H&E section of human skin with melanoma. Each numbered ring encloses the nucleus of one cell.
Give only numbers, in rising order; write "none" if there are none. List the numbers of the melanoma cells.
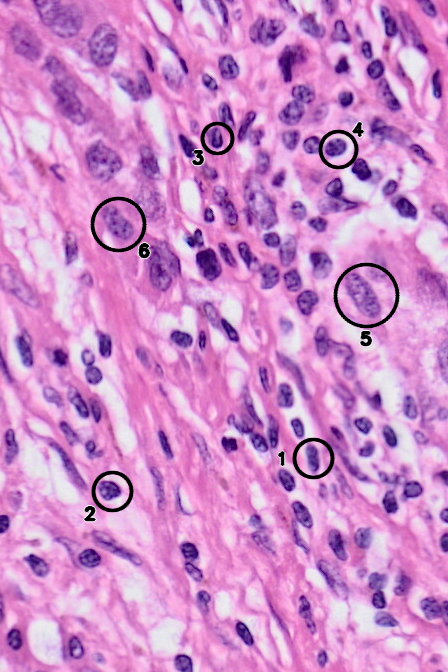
5, 6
